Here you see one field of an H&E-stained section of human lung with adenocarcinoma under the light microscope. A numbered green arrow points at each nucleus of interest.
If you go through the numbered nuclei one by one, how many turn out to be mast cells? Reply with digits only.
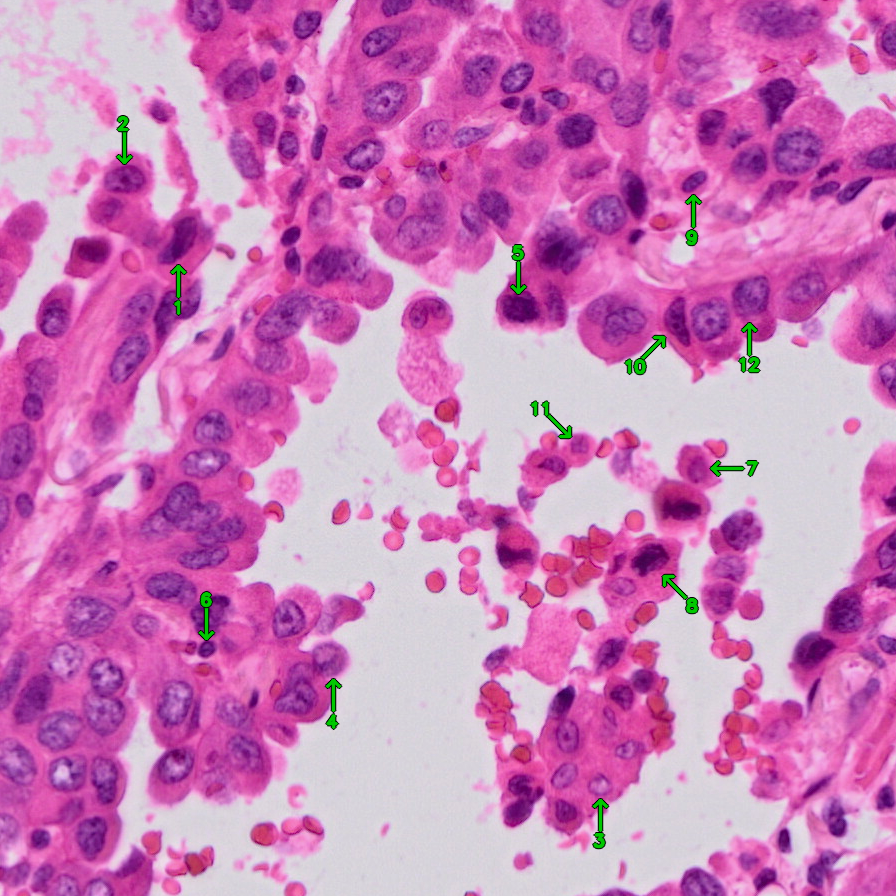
1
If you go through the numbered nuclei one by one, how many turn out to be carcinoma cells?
7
